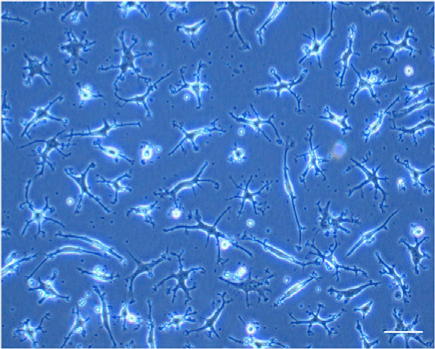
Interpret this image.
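Scattered cultured cells lie singly on a plain background, and most of them now have a small, bright, phase-dense body from which several thin processes radiate. Many processes branch again, giving star-like or bushy outlines, while a few cells remain long and spindle-shaped with processes at both ends. Only a handful of small round bright cells without processes are left. The cells rarely touch one another and are spread fairly evenly.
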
